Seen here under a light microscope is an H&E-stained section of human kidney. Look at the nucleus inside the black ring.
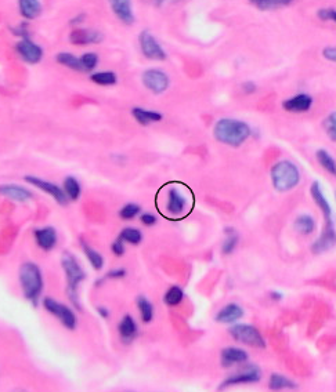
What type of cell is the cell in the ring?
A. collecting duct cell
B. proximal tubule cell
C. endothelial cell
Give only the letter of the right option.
C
